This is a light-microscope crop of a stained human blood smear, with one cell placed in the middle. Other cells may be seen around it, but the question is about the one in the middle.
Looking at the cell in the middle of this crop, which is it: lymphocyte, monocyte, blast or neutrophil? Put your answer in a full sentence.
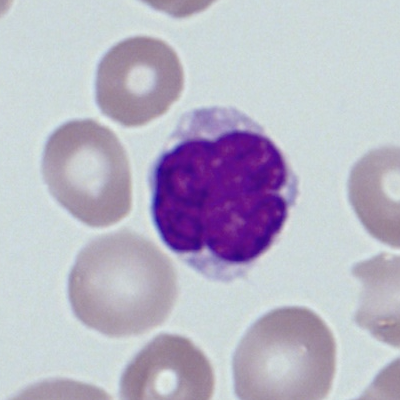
The cell that lies at the centre of the crop is a lymphocyte.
